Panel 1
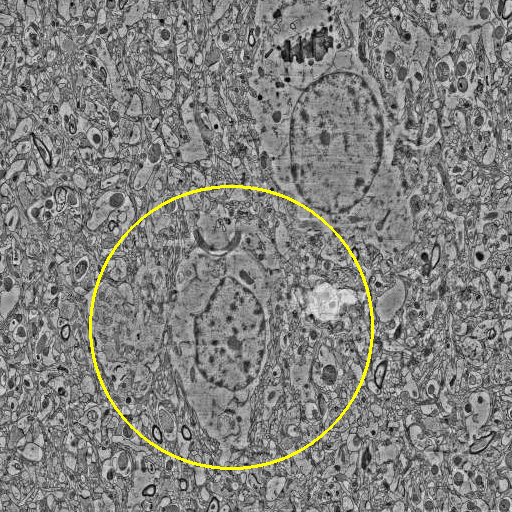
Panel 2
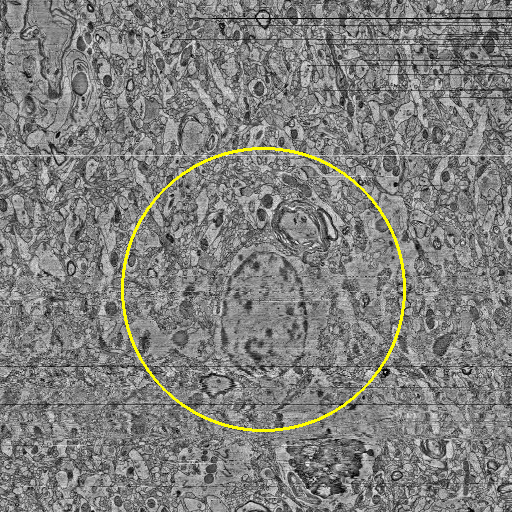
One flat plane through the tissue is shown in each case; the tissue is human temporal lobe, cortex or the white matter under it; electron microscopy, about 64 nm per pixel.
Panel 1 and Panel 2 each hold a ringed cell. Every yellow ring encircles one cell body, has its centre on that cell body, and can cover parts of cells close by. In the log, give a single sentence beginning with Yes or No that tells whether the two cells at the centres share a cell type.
Yes, in Panel 1 and Panel 2 the centred cells share a cell type.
